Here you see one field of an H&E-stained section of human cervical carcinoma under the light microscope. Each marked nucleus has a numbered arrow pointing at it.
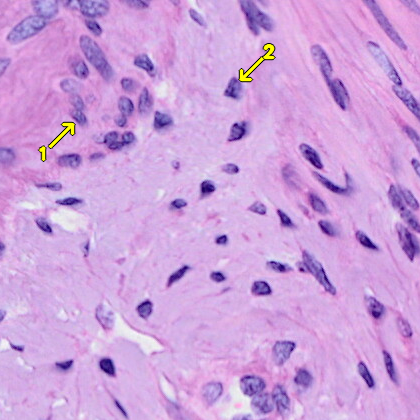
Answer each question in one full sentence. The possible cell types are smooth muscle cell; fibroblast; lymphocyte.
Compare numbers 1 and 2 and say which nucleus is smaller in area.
With nucleus 2 about 2 times its size, nucleus 1 is the smaller of the two.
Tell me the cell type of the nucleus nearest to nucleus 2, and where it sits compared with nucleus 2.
The nearest nucleus is that of a fibroblast and lies below nucleus 2.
